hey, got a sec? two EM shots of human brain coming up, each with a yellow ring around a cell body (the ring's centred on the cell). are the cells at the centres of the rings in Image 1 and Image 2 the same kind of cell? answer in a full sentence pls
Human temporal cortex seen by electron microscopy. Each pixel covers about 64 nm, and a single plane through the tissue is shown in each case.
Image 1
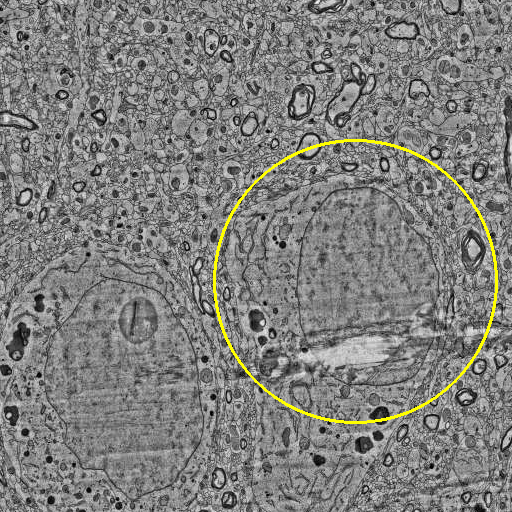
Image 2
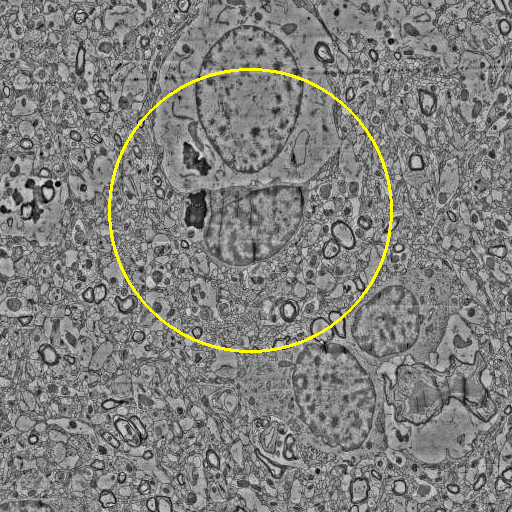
No, they are two kinds of cell.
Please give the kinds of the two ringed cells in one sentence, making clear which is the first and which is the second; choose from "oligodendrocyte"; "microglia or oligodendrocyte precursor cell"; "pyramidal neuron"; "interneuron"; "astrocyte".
In the second picture the ringed cell is an oligodendrocyte; in the first it is a pyramidal neuron.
